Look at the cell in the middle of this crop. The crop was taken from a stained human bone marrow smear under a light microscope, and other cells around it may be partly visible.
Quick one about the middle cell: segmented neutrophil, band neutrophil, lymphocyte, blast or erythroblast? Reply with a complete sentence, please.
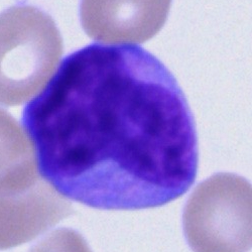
In this crop, the cell at the very middle is a blast.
